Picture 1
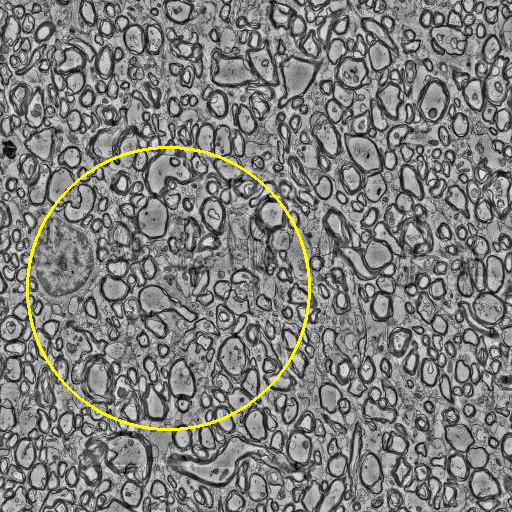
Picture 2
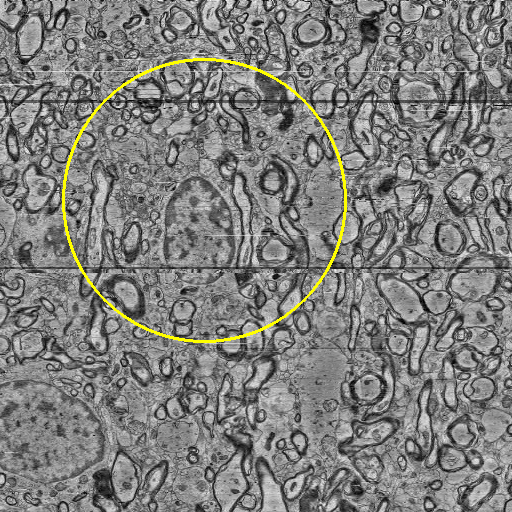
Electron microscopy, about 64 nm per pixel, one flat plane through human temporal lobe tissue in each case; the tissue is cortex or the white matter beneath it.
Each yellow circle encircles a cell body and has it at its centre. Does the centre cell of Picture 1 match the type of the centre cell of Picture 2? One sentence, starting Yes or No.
No, the cell centred in Picture 1 and the one in Picture 2 have separate types.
